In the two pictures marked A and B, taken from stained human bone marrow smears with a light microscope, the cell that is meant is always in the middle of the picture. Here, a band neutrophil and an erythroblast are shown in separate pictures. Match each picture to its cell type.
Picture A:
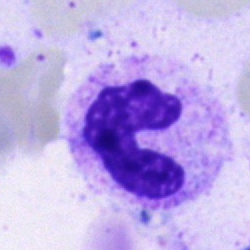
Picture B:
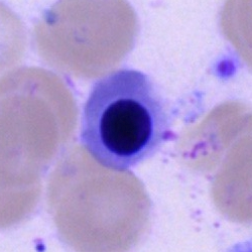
A: band neutrophil
B: erythroblast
